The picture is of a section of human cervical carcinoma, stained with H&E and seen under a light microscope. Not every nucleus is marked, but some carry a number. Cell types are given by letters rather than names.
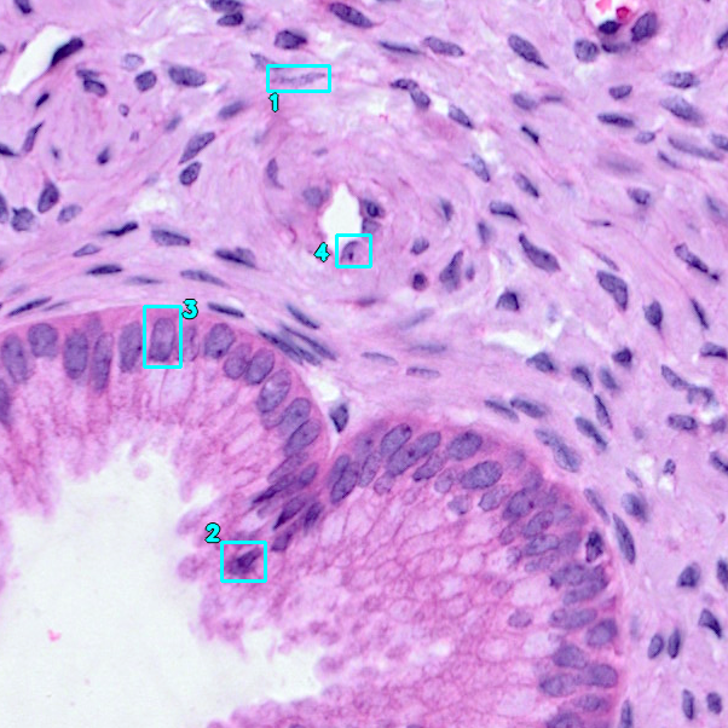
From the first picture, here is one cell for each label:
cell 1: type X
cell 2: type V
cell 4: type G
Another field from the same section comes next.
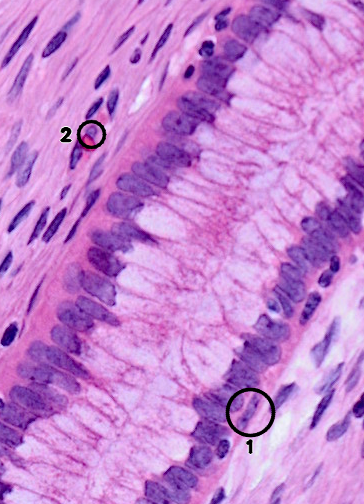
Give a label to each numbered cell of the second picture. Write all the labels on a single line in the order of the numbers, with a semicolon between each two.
type V; type G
